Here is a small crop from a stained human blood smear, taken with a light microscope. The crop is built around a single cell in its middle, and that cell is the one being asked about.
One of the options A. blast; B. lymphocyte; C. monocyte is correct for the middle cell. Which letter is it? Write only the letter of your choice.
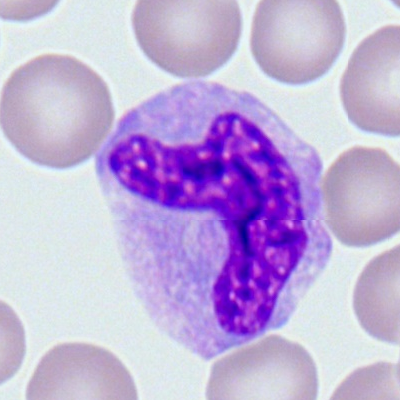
C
